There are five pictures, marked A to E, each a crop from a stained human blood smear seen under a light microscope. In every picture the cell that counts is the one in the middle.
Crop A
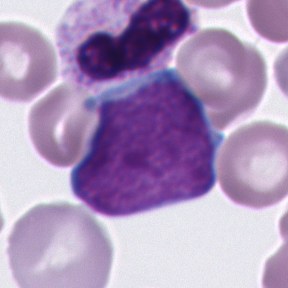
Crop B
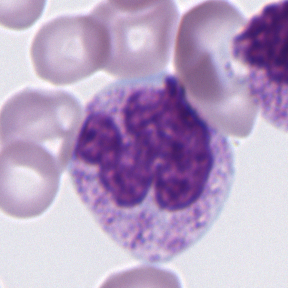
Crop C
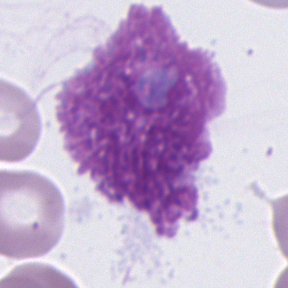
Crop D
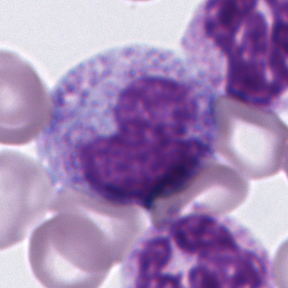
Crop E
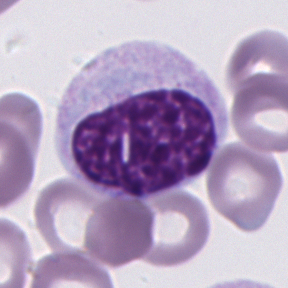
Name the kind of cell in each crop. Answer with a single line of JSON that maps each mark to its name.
{"A": "myeloblast", "B": "segmented neutrophil", "C": "smudge cell", "D": "myelocyte", "E": "metamyelocyte"}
